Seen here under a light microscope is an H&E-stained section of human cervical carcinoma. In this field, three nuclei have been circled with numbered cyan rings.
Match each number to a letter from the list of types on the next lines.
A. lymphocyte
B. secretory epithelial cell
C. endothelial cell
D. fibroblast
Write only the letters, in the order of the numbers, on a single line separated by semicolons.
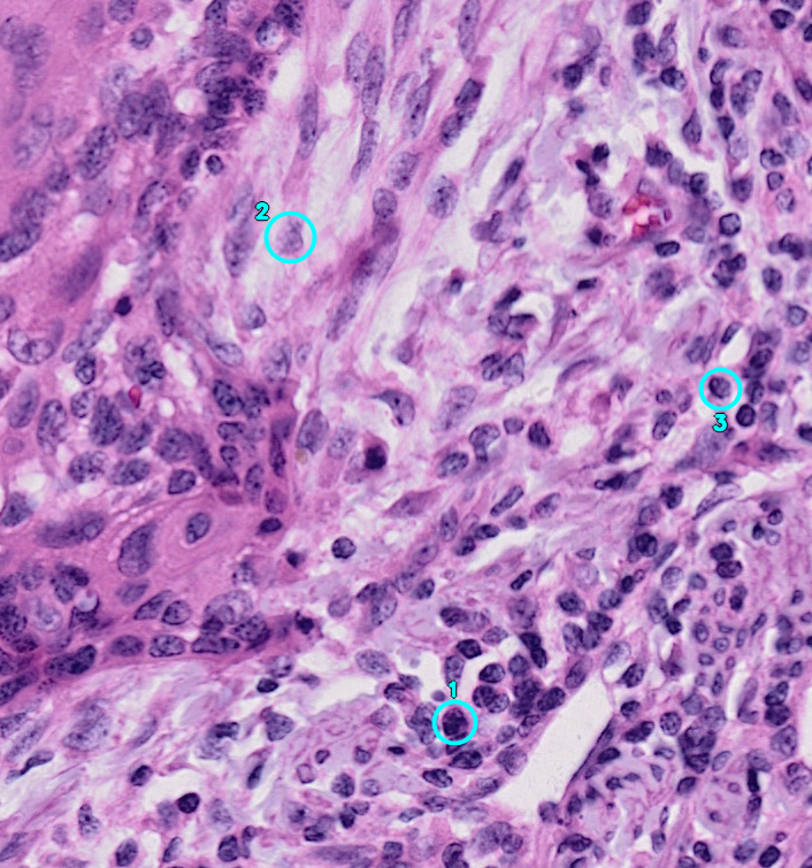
A; D; A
